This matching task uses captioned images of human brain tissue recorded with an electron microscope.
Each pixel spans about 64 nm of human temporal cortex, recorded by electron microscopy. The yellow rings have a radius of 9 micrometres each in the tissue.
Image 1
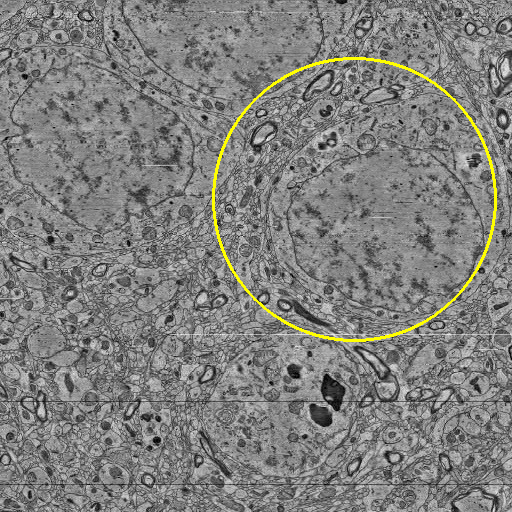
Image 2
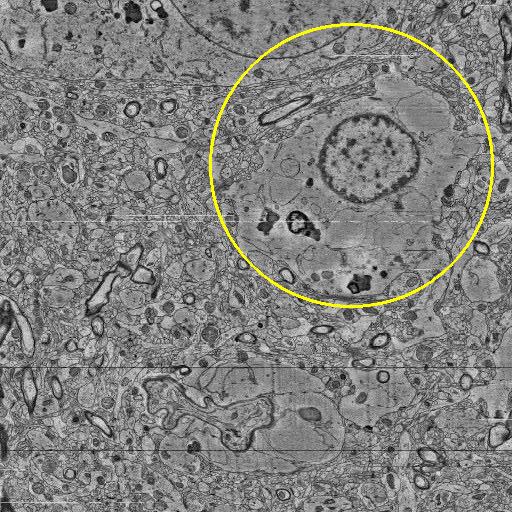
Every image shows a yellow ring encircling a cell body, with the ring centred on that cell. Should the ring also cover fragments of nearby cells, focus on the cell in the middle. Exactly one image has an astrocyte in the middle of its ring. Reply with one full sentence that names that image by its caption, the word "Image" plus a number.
Image 2 shows the cell in question at the centre of its yellow ring.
